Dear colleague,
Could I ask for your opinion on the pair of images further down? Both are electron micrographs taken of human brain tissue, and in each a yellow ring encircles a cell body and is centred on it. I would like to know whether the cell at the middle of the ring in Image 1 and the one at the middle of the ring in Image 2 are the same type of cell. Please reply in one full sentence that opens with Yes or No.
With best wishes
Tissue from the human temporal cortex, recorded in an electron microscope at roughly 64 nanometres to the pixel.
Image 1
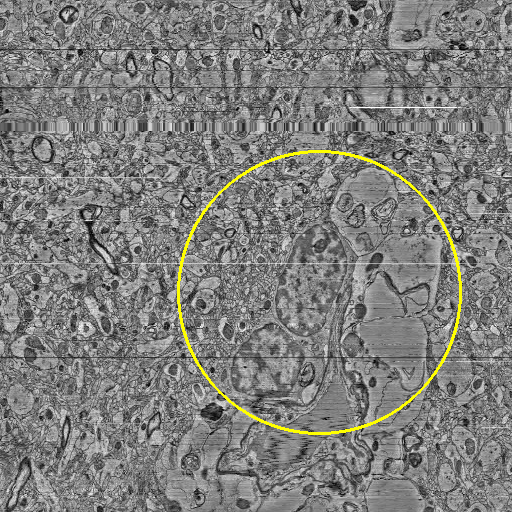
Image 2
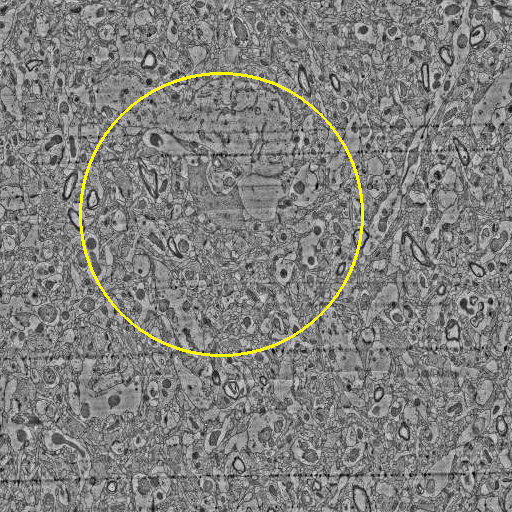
Yes, the cells at the ring centres in Image 1 and Image 2 are of one type.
